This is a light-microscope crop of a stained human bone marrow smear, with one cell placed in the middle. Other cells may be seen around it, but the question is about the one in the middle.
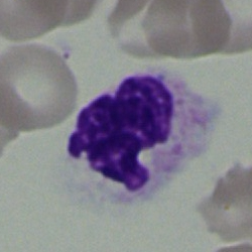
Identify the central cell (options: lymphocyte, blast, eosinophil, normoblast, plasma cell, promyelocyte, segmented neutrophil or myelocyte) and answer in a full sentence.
The cell the crop is centered on is a segmented neutrophil.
